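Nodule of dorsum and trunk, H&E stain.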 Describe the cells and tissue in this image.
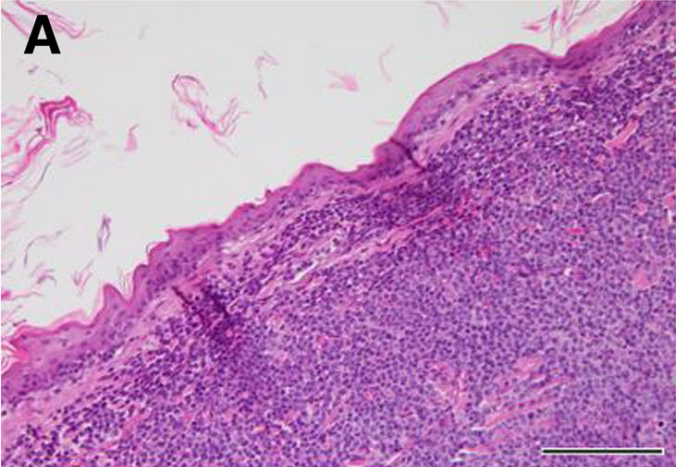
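Skin with a thin epidermis overlying a dermis packed with a dense infiltrate of small round lymphoid cells with dark nuclei. The infiltrate extends right up to the base of the epidermis, with loose keratin flakes above the surface.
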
